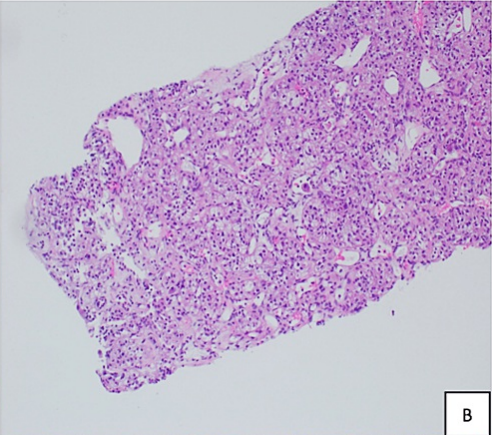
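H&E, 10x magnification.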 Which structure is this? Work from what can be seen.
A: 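Thin, branching vascular channels with some red blood cells run through the tissue. So: delicate arborizing vascular networks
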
